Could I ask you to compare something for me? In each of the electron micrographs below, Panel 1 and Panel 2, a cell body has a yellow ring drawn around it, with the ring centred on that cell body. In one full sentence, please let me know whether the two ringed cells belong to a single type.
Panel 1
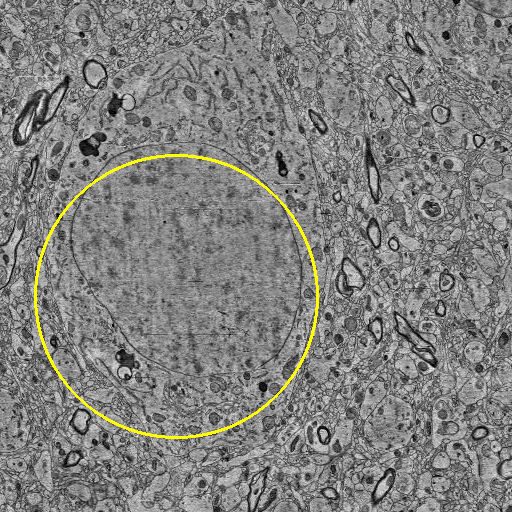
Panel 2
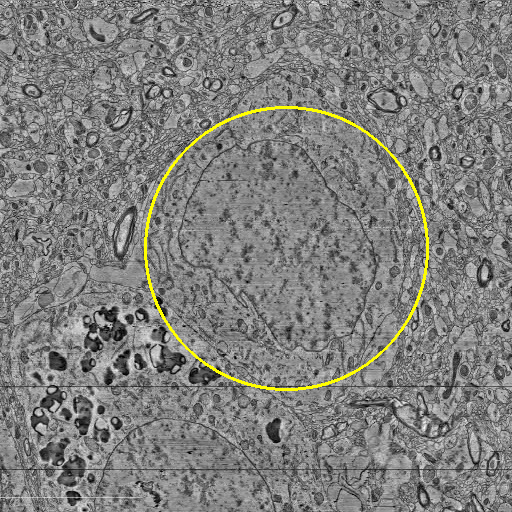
Yes, the two cells at the centres of the rings are of one type.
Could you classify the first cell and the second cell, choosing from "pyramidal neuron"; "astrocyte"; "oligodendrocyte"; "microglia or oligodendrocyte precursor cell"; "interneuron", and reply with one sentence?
Each one of the two ringed cells is a pyramidal neuron.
